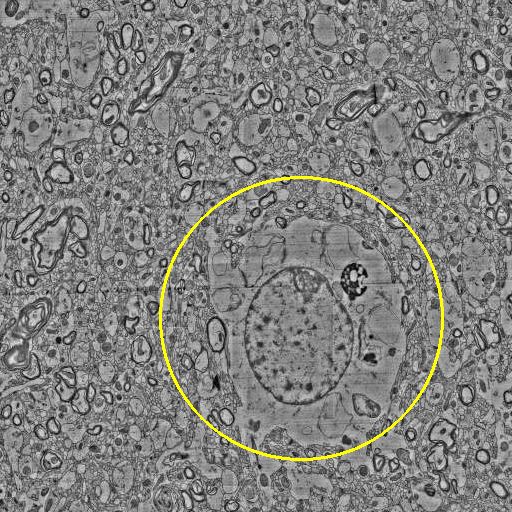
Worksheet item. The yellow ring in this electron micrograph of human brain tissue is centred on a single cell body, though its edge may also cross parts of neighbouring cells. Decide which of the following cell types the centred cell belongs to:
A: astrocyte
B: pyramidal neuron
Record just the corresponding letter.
A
